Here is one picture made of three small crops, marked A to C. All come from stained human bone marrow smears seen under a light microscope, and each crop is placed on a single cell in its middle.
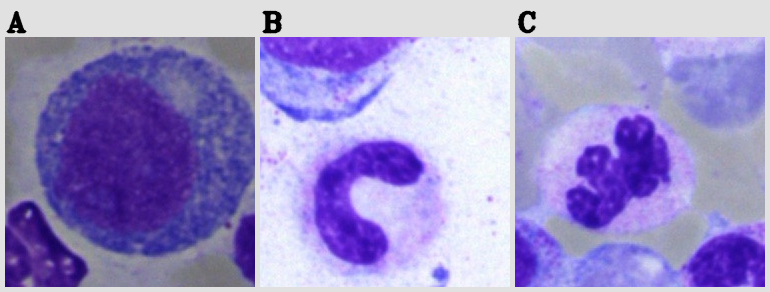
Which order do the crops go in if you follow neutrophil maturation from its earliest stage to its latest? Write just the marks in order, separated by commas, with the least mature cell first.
A, B, C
